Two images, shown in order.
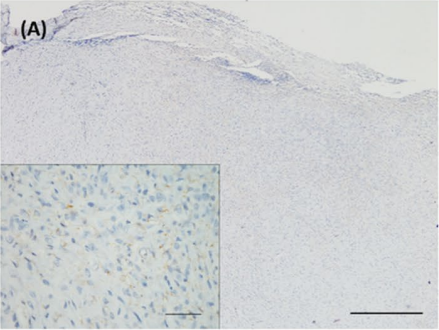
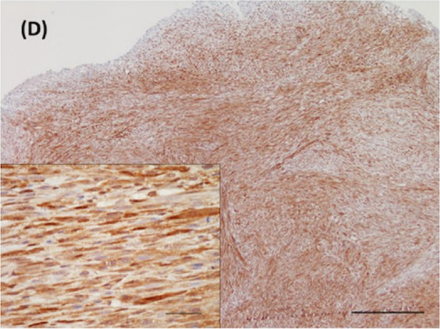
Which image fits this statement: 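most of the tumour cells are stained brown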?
The second image.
